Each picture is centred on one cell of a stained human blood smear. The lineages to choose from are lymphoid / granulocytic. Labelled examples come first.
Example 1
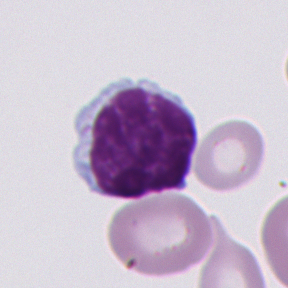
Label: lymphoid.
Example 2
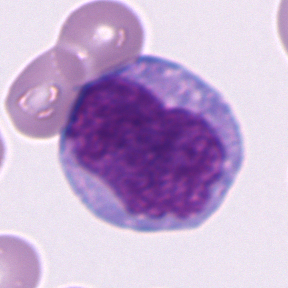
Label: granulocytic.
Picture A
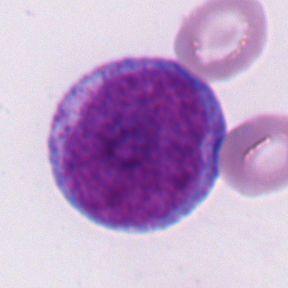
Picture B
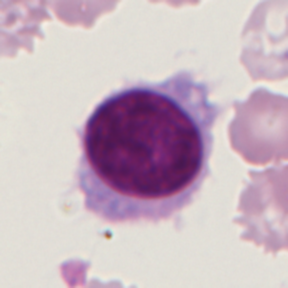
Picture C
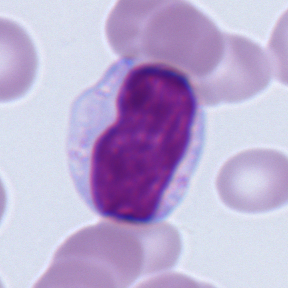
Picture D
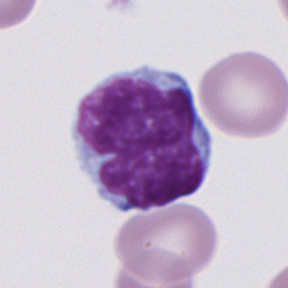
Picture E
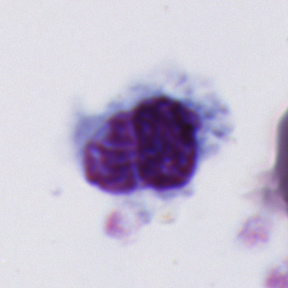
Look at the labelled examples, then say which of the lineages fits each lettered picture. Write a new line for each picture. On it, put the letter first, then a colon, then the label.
A: granulocytic.
B: lymphoid.
C: lymphoid.
D: lymphoid.
E: lymphoid.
